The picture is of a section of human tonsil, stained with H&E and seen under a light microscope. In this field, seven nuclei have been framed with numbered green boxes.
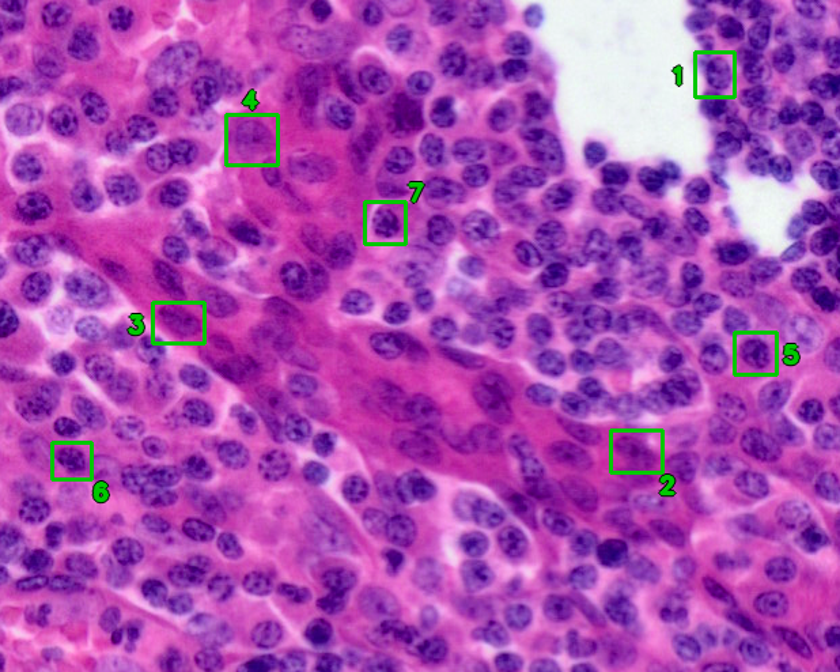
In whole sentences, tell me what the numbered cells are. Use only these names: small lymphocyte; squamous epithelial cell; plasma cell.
Cell 1 is a small lymphocyte, cell 2 is a squamous epithelial cell, cell 3 is a squamous epithelial cell, cell 4 is a squamous epithelial cell, cell 5 is a plasma cell, cell 6 is a plasma cell and cell 7 is a plasma cell.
